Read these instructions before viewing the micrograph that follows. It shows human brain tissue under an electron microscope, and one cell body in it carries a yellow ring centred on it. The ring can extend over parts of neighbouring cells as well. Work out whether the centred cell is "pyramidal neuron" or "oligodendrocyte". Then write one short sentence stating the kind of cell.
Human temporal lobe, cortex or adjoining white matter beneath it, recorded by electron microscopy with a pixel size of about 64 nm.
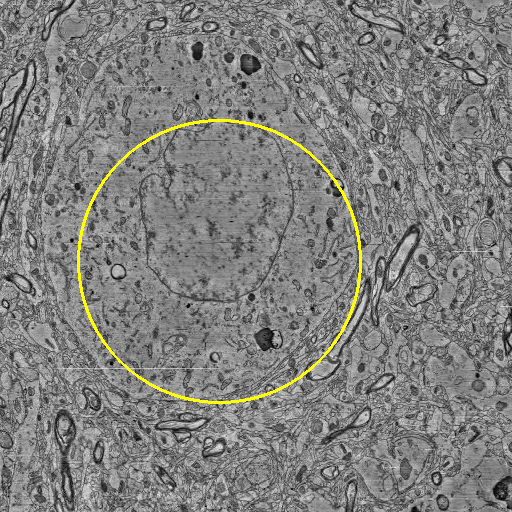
The ringed cell is a pyramidal neuron.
